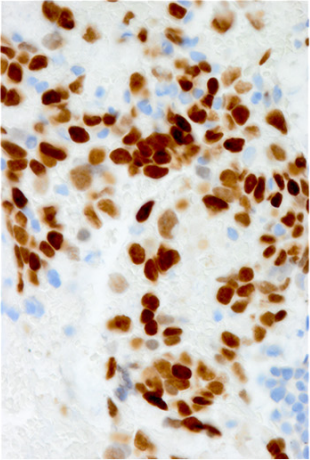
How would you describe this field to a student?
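Sheets and clusters of cells show strong dark brown staining confined to their round to oval nuclei, with no brown in the cytoplasm. The intensity varies from deep brown to paler tan between nuclei, and a few blue-counterstained nuclei lie between the stained ones.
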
